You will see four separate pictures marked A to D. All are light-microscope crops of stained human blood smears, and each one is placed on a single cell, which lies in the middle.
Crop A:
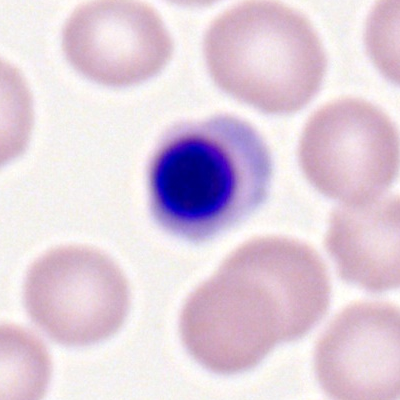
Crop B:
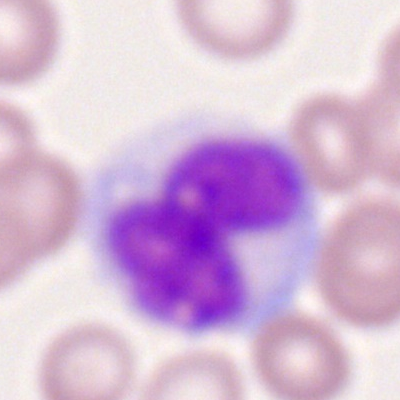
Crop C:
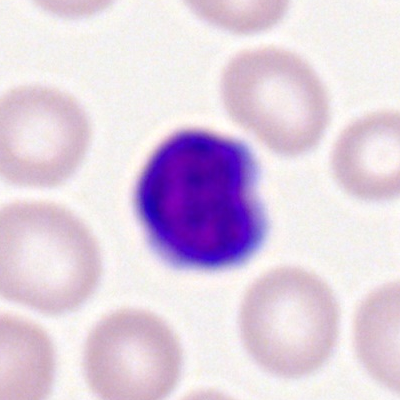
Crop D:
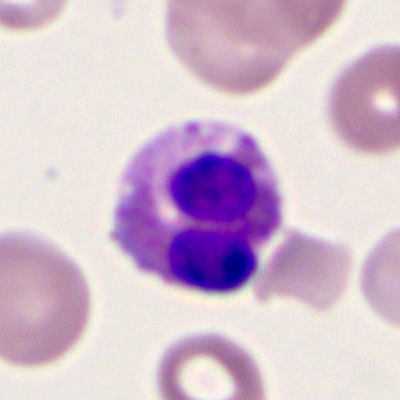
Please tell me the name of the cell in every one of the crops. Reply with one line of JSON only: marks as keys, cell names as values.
{"A": "erythroblast", "B": "monocyte", "C": "lymphocyte", "D": "eosinophil"}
